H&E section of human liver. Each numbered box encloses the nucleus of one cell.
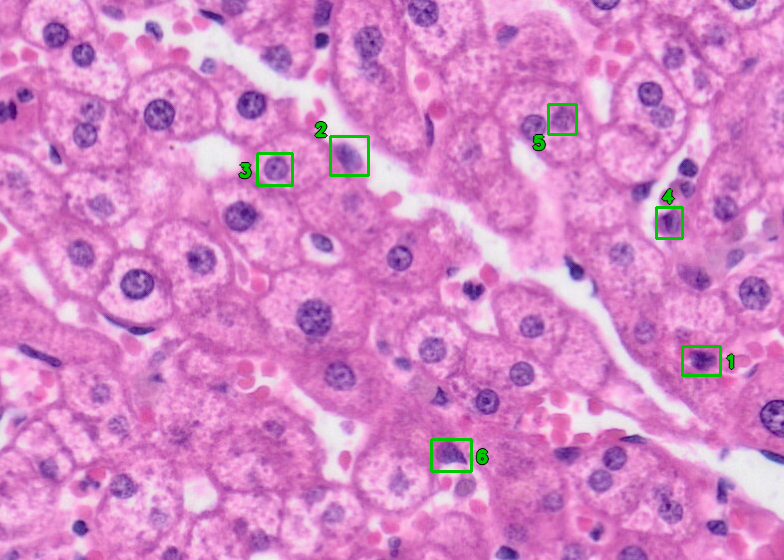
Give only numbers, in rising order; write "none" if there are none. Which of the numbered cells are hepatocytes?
3, 5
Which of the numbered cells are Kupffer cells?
4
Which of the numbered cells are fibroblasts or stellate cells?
1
